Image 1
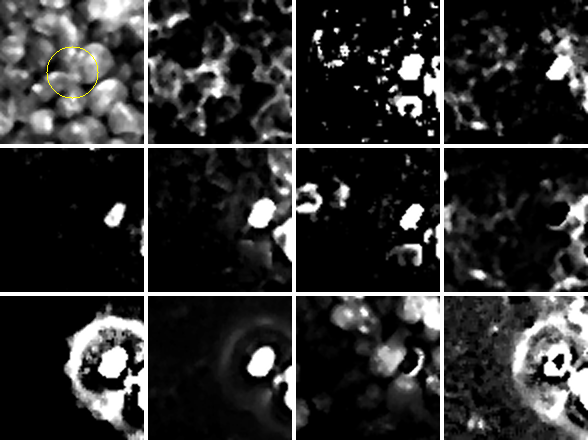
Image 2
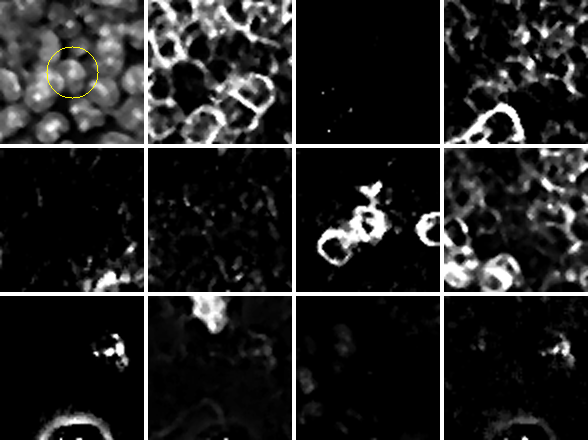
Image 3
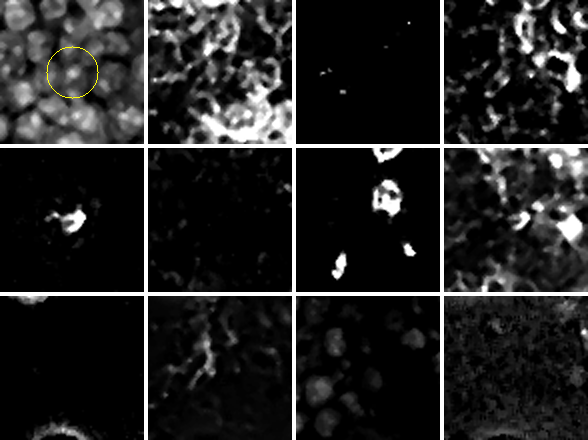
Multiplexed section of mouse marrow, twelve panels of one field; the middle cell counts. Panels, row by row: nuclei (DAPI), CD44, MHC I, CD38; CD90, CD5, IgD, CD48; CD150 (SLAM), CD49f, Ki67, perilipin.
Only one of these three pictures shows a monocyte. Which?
Picture 1.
